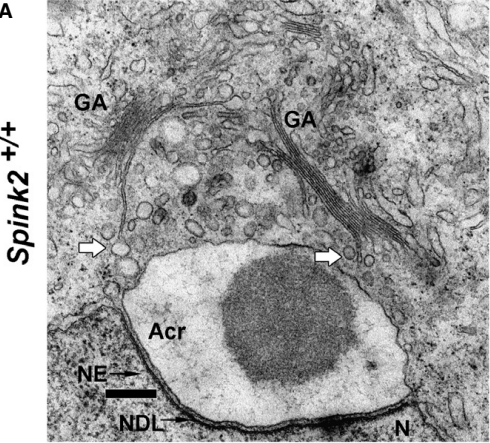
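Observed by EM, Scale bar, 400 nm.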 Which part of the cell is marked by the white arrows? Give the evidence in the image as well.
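Small vesicles. The white arrows point to small round membrane-bound profiles. These profiles lie between the stacked cisternae and the large pale vesicle at the nucleus.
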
